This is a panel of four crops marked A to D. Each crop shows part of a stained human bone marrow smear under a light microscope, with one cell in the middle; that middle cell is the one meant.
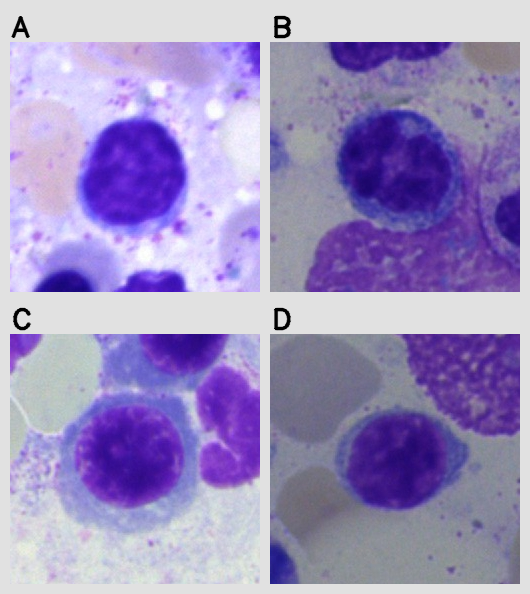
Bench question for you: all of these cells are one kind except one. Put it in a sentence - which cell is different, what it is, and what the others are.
Crop C holds an erythroblast, unlike the remaining crops, all of which hold lymphocytes.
